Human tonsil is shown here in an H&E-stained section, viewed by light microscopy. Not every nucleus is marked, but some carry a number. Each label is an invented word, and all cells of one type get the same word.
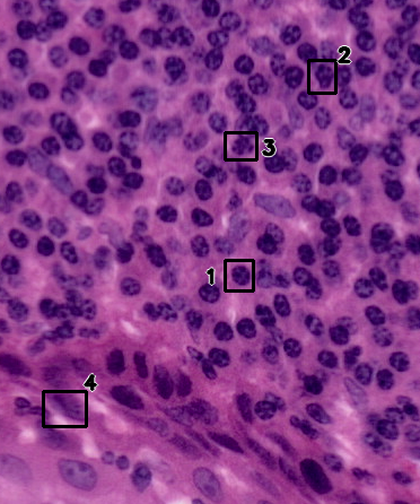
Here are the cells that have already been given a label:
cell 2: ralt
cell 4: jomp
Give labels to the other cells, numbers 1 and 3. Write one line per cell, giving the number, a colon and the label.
1: ralt
3: ralt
